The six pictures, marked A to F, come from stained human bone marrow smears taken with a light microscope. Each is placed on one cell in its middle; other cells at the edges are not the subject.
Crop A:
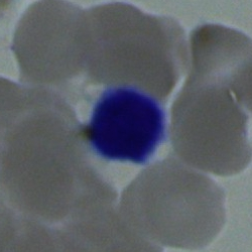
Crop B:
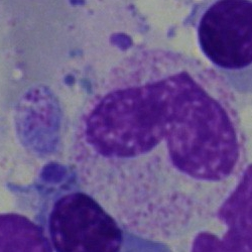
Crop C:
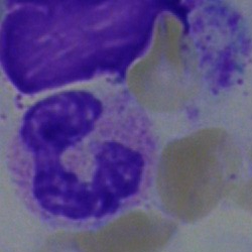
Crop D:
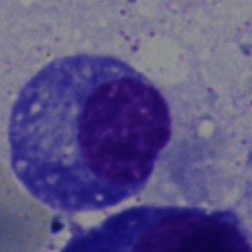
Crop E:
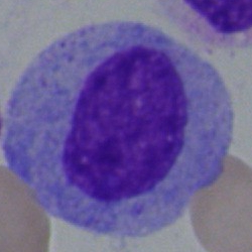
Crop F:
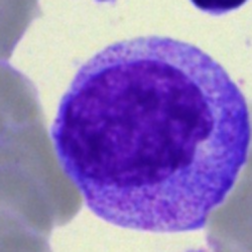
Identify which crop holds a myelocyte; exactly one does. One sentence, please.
In the set of crops, crop E is the one that contains a myelocyte.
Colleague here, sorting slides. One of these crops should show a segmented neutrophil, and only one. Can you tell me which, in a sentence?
It is in crop C, among all the crops, that a segmented neutrophil is present.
